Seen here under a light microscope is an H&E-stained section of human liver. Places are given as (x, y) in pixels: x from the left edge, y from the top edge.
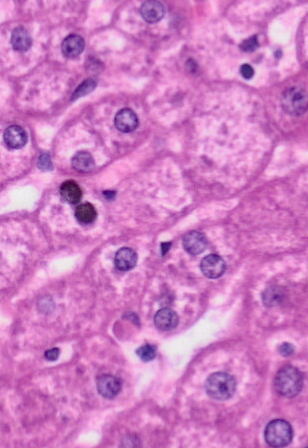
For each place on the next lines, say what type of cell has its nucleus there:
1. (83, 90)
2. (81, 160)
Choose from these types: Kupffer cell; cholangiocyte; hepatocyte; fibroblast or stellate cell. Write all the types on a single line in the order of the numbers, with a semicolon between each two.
Kupffer cell; hepatocyte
